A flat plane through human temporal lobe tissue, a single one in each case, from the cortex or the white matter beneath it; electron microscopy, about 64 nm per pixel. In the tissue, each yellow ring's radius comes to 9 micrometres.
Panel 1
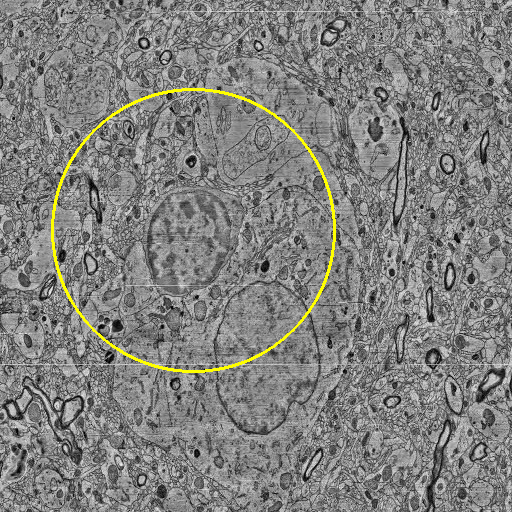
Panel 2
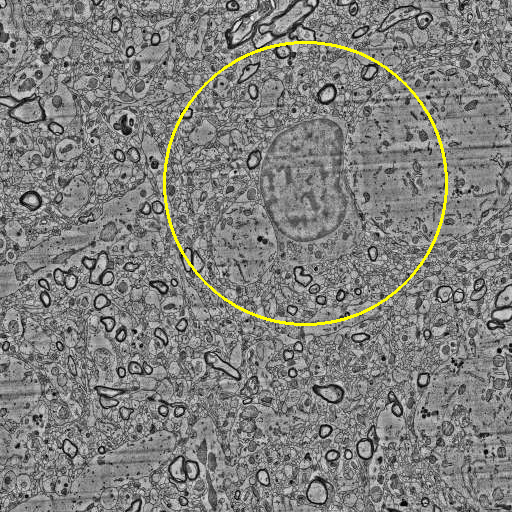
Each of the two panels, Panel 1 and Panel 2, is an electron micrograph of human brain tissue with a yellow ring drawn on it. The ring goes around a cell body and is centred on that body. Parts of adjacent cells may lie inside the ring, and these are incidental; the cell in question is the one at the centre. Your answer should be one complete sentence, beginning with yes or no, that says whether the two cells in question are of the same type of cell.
Yes, the two cells are of the same type.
